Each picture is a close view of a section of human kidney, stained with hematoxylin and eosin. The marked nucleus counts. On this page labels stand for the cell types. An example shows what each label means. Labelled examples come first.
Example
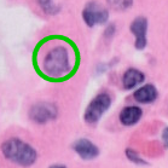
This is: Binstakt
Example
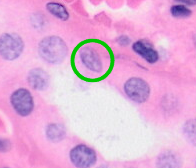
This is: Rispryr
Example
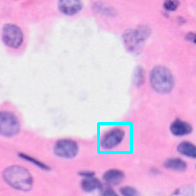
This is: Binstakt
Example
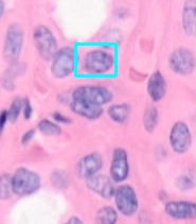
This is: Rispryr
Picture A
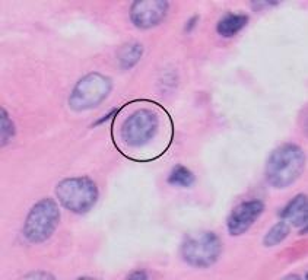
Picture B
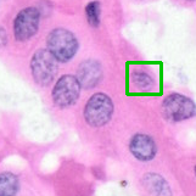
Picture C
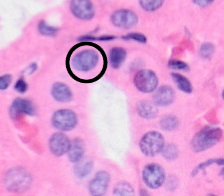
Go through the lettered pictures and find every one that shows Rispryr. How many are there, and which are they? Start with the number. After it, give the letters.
1, namely C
